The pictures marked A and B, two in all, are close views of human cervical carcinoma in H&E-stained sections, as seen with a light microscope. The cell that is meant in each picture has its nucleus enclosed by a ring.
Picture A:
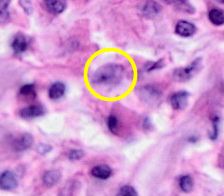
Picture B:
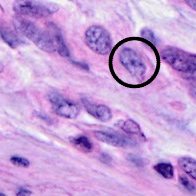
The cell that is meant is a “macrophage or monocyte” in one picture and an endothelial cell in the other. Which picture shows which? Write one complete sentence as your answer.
It is picture A that shows a “macrophage or monocyte”, and picture B that shows an endothelial cell.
